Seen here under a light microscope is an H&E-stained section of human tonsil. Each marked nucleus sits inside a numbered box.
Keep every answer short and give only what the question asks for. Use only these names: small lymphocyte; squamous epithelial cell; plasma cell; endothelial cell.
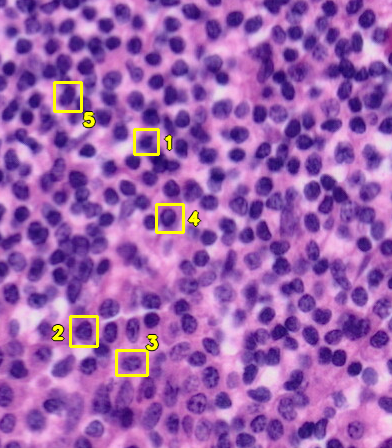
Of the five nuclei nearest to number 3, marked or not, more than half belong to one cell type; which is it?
squamous epithelial cell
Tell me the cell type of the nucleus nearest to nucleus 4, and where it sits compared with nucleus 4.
a small lymphocyte to the left of nucleus 4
